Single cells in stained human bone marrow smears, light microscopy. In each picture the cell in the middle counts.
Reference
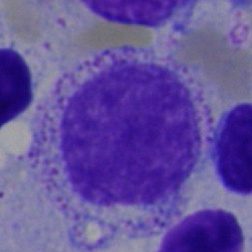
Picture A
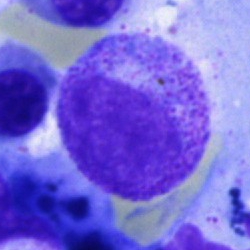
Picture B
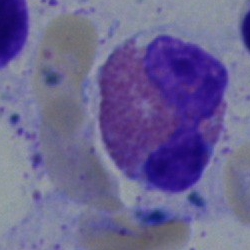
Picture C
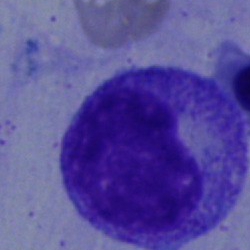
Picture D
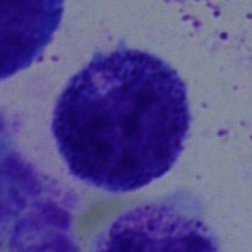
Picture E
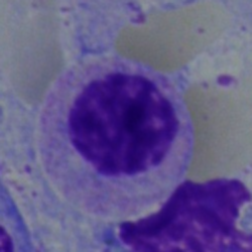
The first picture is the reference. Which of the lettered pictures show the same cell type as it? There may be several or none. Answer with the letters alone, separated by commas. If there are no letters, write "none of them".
A, C, E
